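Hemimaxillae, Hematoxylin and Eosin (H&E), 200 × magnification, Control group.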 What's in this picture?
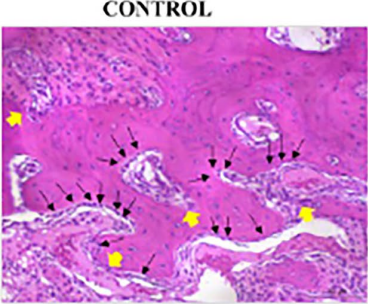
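Between the trabeculae lie narrow spaces of paler, looser connective tissue with small vessels. Rows of small black arrows point to cells lining the bone surfaces where the pink matrix meets this connective tissue.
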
